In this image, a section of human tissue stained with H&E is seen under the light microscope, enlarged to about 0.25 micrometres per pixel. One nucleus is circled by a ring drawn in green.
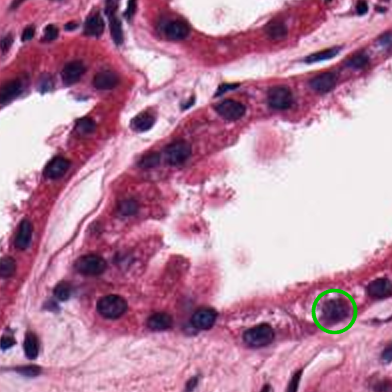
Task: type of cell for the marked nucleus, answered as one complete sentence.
The marked nucleus is housed in a proximal tubule cell.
